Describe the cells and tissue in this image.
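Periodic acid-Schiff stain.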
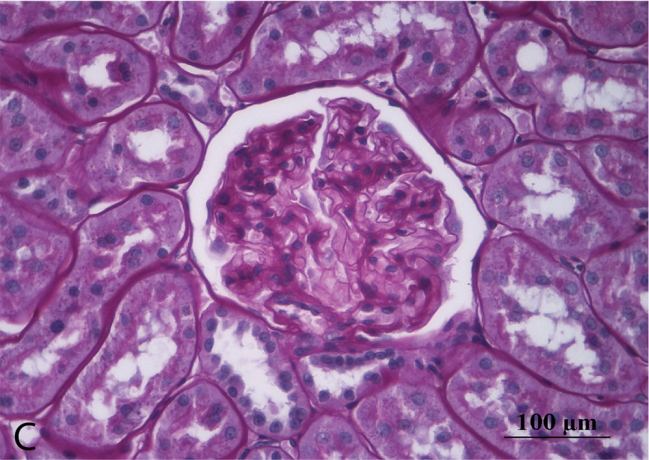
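A renal glomerulus in kidney cortex, surrounded by tubules lined by cuboidal epithelium with round nuclei, pink cytoplasm and pale, vacuolated luminal borders. The glomerular tuft is lobulated, with thin magenta capillary loops and scattered dark nuclei, and a cleft divides it into lobules. The tubular basement membranes stain magenta and the interstitium between tubules is narrow.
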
